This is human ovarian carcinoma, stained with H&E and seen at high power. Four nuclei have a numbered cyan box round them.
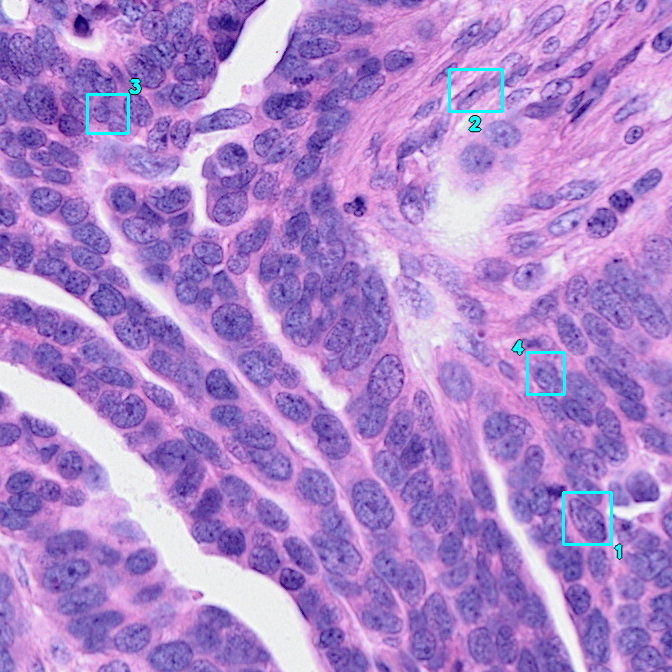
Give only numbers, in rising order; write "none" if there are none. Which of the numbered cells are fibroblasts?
2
